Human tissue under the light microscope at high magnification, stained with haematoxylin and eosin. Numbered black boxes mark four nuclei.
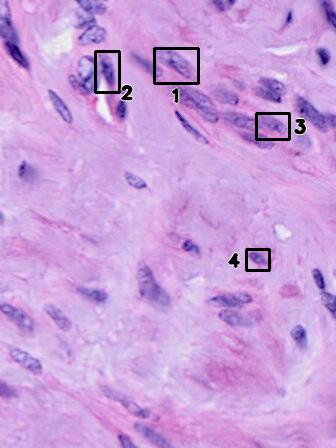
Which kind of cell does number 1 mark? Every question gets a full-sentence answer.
That cell with number 1 is a smooth muscle cell.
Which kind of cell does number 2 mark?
The one labeled 2 is an endothelial cell, to put it simply.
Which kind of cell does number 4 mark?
The nucleus labelled 4 belongs to a smooth muscle cell.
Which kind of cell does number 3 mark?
Of the numbered cells, the one labelled 3 is a smooth muscle cell.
